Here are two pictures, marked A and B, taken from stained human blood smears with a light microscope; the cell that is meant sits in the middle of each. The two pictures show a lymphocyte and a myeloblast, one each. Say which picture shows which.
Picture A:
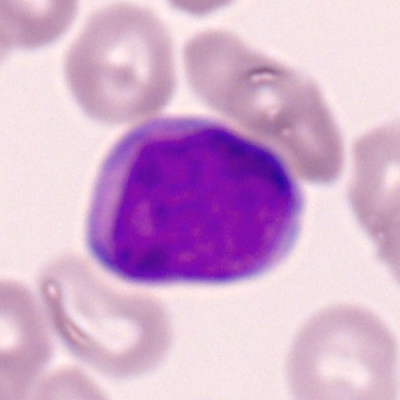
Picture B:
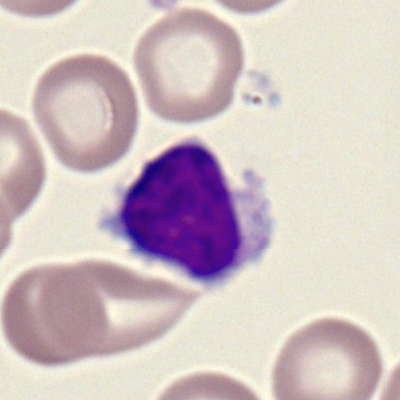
A: myeloblast
B: lymphocyte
